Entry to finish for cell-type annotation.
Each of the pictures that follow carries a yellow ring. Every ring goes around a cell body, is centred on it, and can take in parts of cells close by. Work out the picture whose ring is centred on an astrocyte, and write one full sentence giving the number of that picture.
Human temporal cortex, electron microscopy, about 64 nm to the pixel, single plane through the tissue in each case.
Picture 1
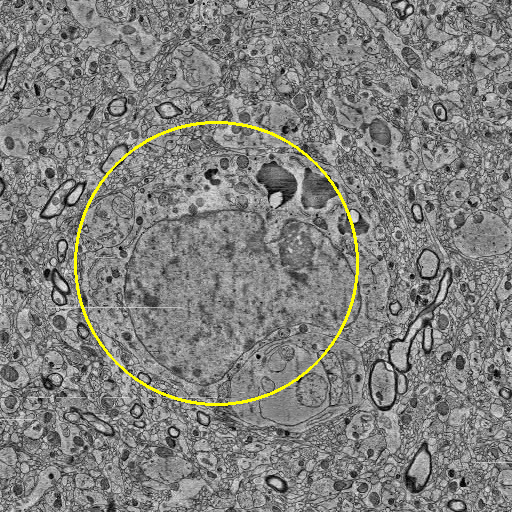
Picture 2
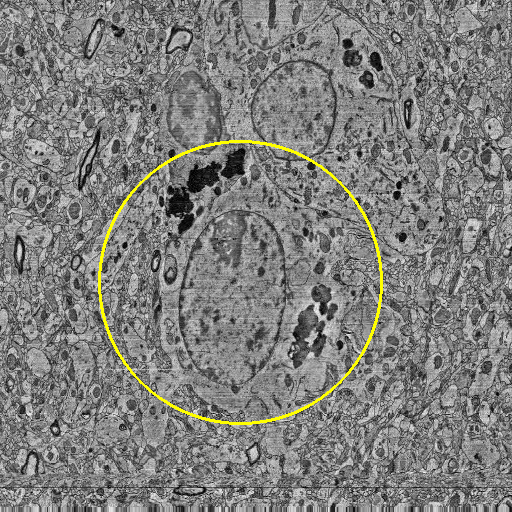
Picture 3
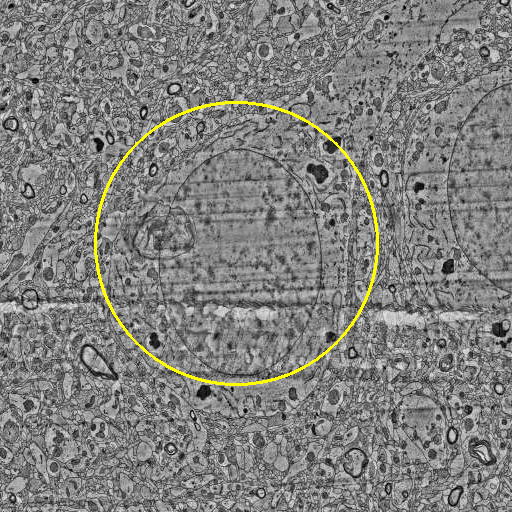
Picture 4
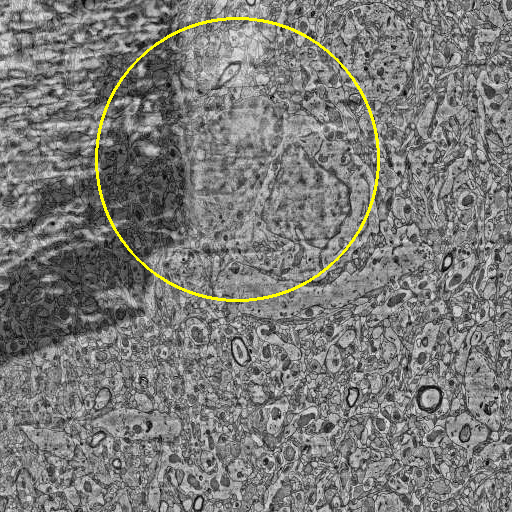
The cell at the heart of the ring in picture 2 matches the request.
